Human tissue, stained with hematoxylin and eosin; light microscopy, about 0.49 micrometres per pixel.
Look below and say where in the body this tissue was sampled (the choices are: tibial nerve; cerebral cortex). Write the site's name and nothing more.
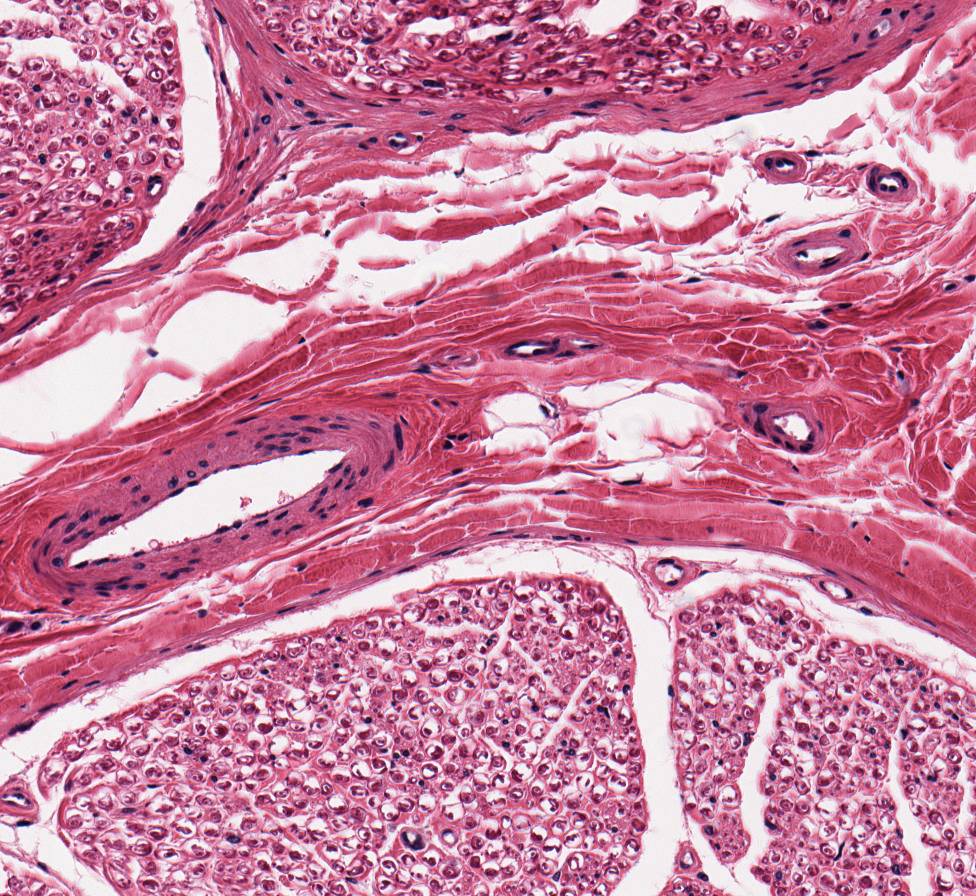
tibial nerve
